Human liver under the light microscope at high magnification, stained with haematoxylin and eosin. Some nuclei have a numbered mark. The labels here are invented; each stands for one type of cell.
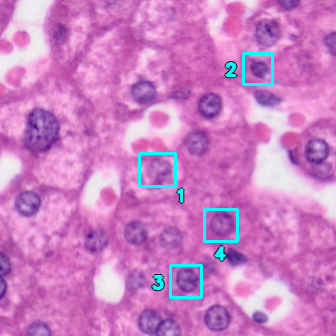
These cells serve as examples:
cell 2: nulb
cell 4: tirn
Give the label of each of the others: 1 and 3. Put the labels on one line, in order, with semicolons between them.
tirn; tirn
